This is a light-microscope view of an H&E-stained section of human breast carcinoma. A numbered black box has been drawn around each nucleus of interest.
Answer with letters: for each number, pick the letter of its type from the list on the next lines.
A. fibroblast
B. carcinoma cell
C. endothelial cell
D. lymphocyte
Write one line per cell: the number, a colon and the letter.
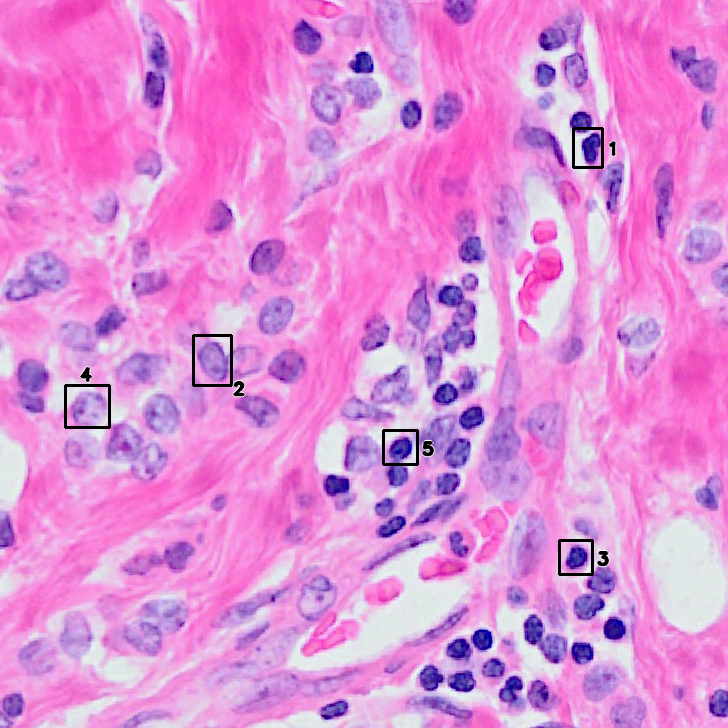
1: D
2: B
3: D
4: B
5: D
